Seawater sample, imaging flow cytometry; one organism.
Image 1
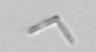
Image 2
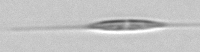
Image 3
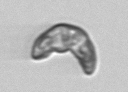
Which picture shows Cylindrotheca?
Picture 2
